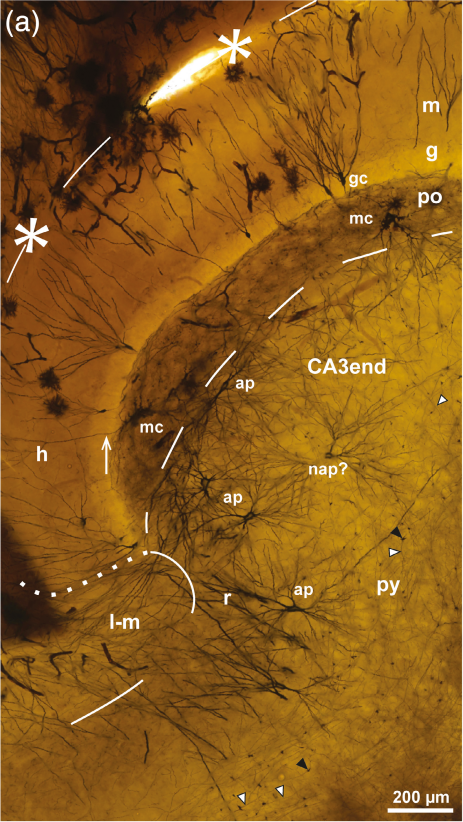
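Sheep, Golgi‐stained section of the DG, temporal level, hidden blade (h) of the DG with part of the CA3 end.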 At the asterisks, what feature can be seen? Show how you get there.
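Blood vessels and dark star-shaped profiles cluster along this line. So: hippocampal fissure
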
